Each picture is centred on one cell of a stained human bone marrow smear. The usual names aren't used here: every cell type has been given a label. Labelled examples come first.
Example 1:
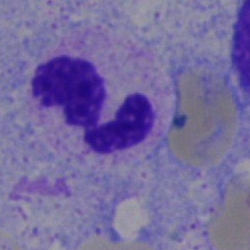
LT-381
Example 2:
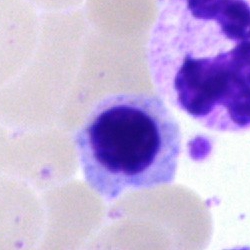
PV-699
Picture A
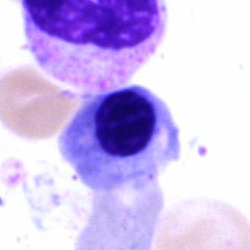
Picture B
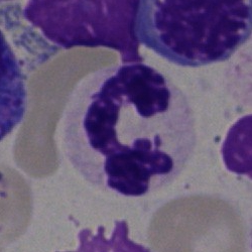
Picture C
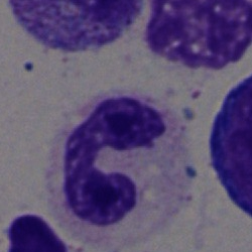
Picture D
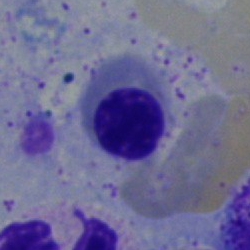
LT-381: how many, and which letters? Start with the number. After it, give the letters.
2: B, C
